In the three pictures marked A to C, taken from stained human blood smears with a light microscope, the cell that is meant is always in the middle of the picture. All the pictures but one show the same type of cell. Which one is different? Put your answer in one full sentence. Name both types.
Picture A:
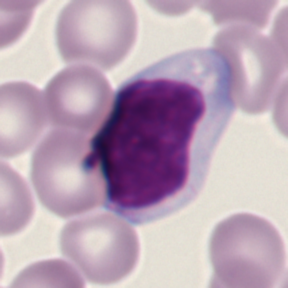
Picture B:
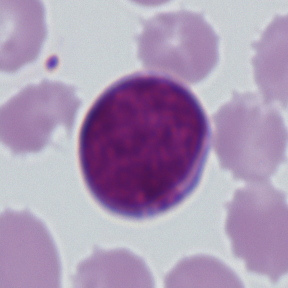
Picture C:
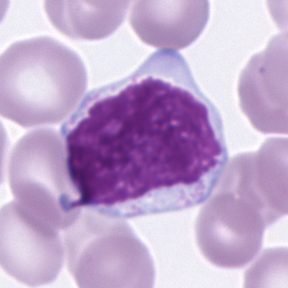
The different one is picture B; it shows a myeloblast, whereas all the others show large granular lymphocytes.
